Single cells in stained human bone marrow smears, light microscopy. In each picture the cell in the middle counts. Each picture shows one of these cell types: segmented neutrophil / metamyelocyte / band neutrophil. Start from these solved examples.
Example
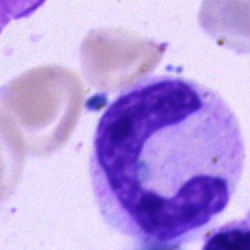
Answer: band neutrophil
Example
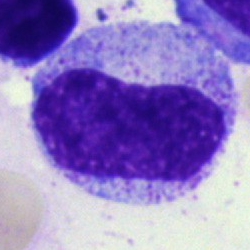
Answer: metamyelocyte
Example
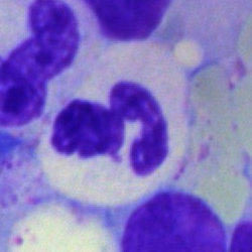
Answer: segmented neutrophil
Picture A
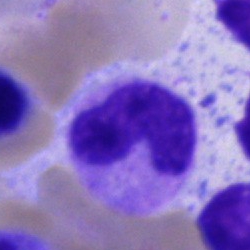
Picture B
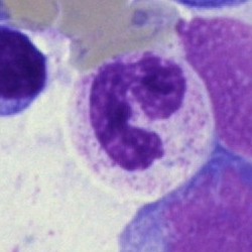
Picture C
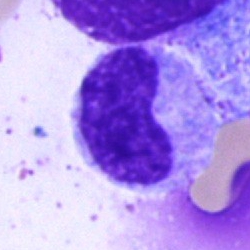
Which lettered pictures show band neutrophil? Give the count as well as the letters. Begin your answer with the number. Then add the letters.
1, namely A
